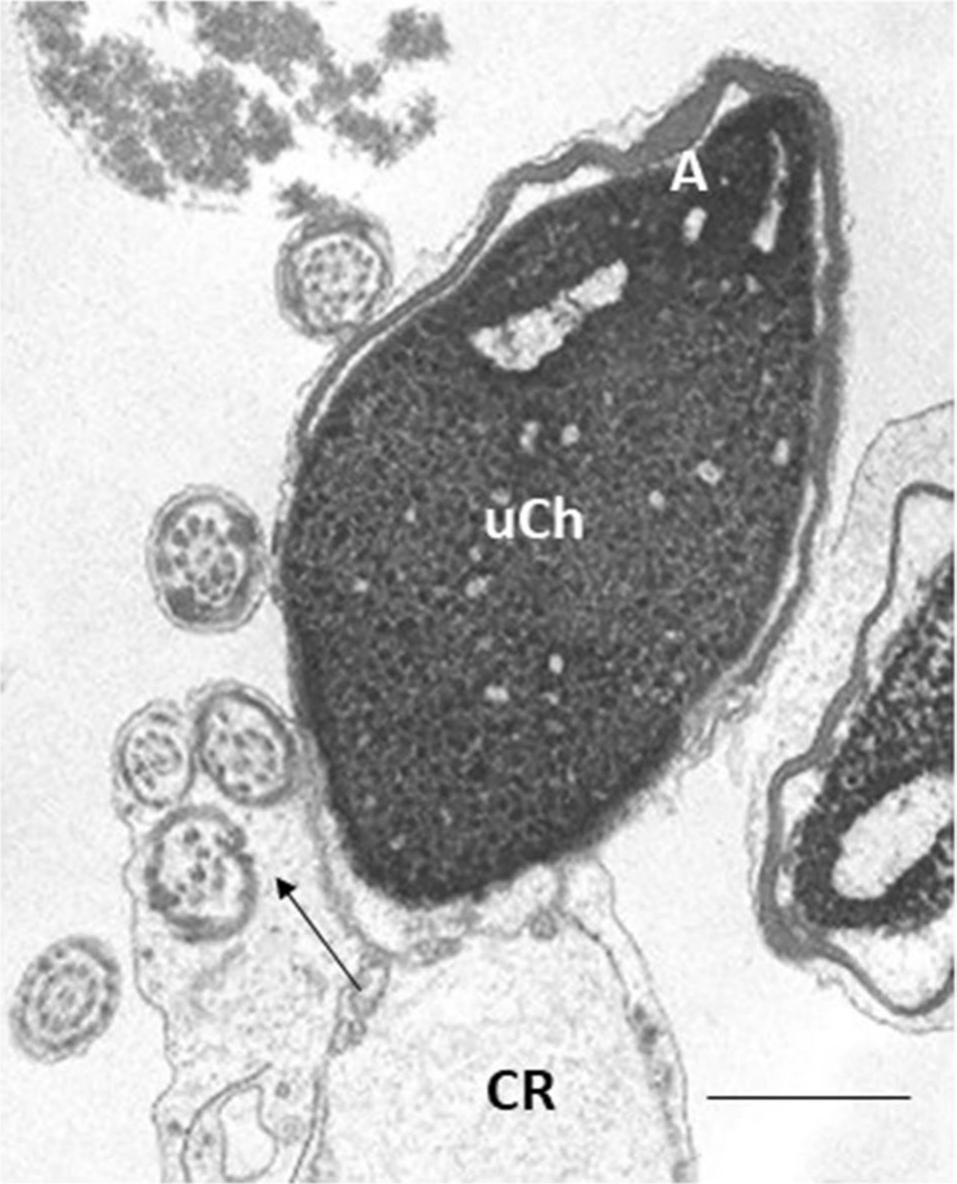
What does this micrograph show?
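This transmission electron micrograph shows the head of an immature sperm cut lengthwise, with a large, electron-dense, pear-shaped nucleus. The chromatin is finely granular and not fully compacted, with small pale spaces scattered through it. Below and beside the head, a pale cytoplasmic residue encloses several round cross-sections of the tail, whose microtubule rings are partly disorganized.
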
